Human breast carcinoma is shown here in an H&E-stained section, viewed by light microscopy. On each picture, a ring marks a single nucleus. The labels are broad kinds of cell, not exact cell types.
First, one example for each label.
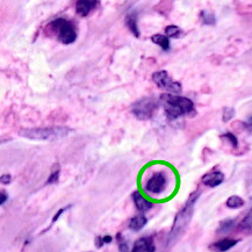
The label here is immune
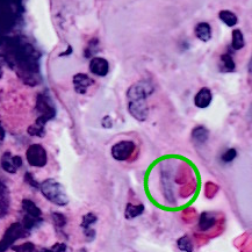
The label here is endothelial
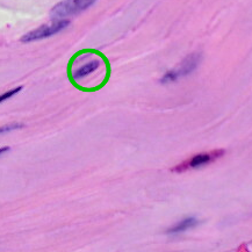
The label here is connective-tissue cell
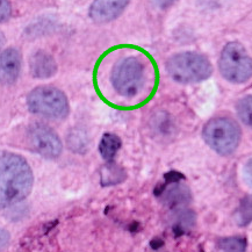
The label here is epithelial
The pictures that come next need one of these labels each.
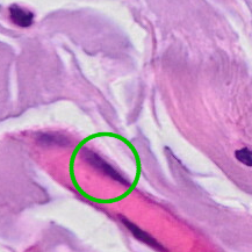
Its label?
endothelial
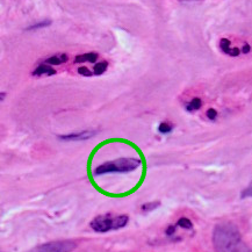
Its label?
connective-tissue cell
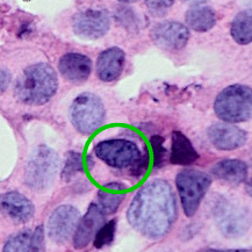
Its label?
epithelial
